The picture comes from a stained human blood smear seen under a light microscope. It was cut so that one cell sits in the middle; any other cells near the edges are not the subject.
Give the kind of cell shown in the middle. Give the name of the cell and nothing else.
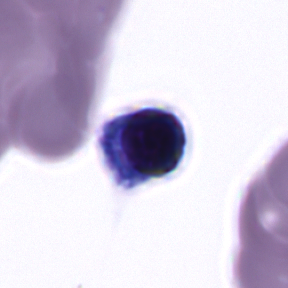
plasma cell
